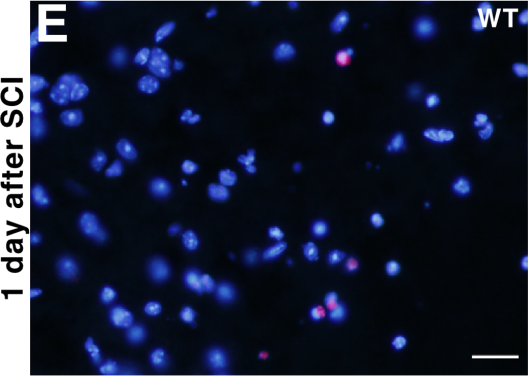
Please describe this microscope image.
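A few nuclei are marked red; these are small and compact compared with the surrounding blue nuclei. At upper left several nuclei lie close together in small clusters.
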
